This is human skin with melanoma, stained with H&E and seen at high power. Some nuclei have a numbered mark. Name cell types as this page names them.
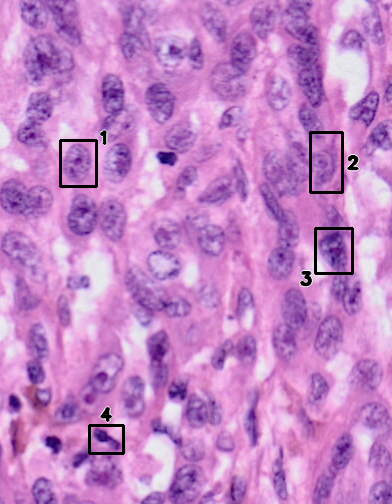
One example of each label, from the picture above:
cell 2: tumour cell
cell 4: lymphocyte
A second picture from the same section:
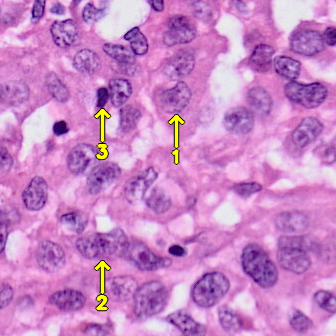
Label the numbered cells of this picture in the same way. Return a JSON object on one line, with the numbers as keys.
{"1": "tumour cell", "2": "tumour cell", "3": "lymphocyte"}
